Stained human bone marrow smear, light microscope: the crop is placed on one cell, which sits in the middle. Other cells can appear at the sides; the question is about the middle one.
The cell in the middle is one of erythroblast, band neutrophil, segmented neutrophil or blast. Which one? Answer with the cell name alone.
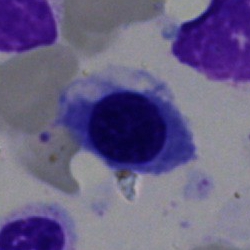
erythroblast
